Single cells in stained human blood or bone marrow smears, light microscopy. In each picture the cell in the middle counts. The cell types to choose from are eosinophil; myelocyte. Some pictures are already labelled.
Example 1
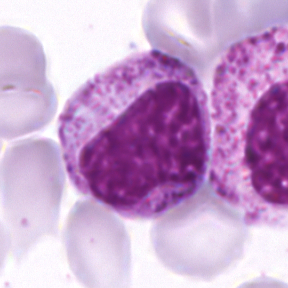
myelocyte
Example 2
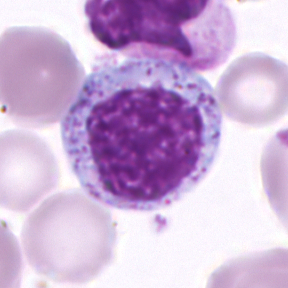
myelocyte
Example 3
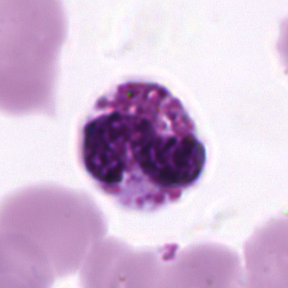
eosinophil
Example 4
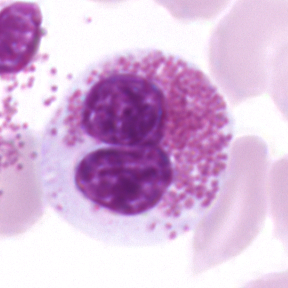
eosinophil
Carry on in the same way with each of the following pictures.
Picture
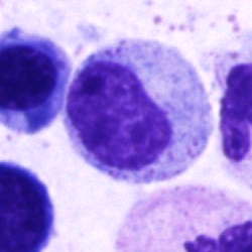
myelocyte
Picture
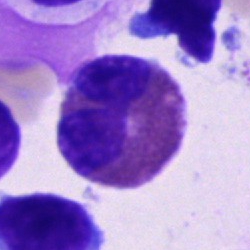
eosinophil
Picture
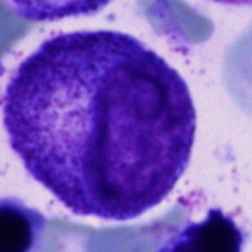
myelocyte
